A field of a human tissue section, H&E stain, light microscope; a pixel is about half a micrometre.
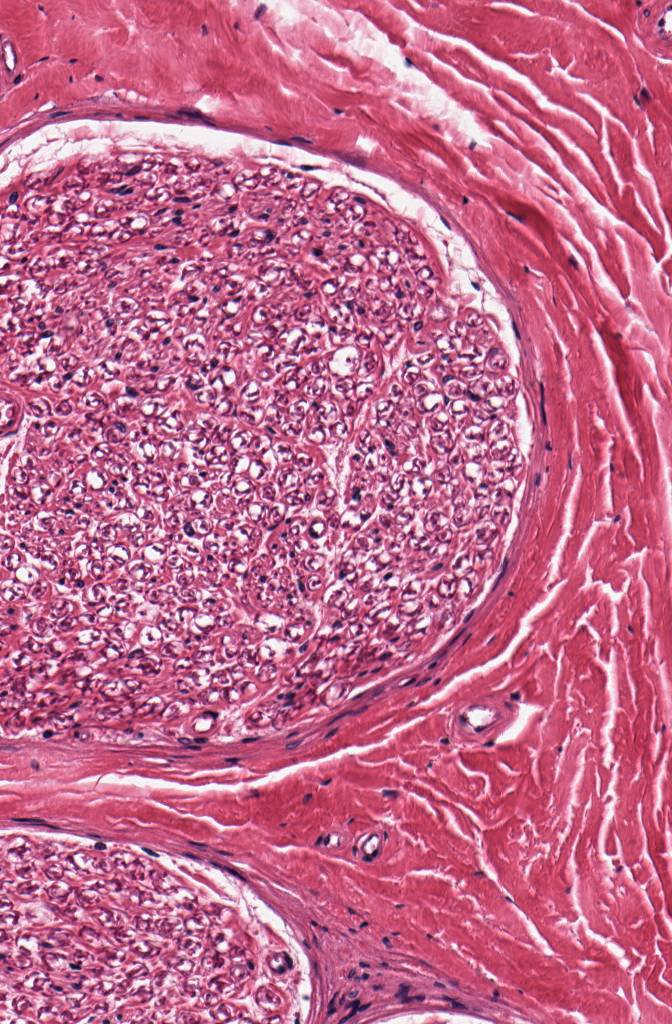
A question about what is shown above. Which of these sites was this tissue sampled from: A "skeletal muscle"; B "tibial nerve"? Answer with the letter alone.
B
